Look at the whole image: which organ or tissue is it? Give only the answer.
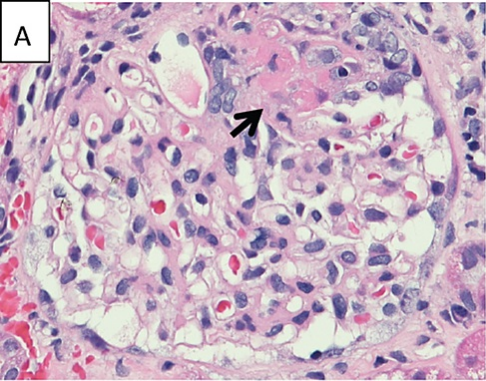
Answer: Glomerulus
